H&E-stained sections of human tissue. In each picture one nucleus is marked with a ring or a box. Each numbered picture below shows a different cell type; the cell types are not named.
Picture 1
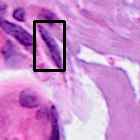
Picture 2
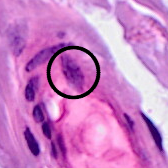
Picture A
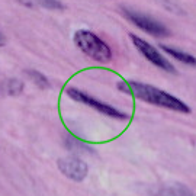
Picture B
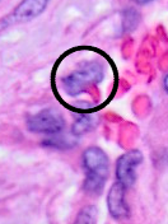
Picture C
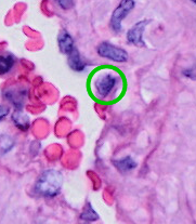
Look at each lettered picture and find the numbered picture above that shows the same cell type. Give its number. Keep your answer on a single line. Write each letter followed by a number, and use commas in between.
A 1, B 2, C 2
